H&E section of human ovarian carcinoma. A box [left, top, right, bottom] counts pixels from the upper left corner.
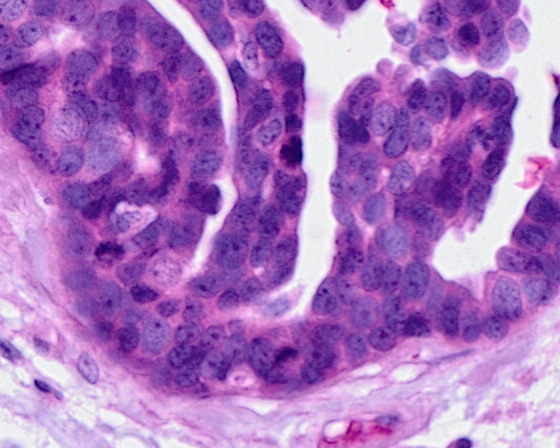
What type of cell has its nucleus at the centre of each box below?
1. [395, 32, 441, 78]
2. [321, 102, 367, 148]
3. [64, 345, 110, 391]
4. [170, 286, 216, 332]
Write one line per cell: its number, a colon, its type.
1: macrophage or monocyte
2: carcinoma cell
3: fibroblast
4: carcinoma cell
